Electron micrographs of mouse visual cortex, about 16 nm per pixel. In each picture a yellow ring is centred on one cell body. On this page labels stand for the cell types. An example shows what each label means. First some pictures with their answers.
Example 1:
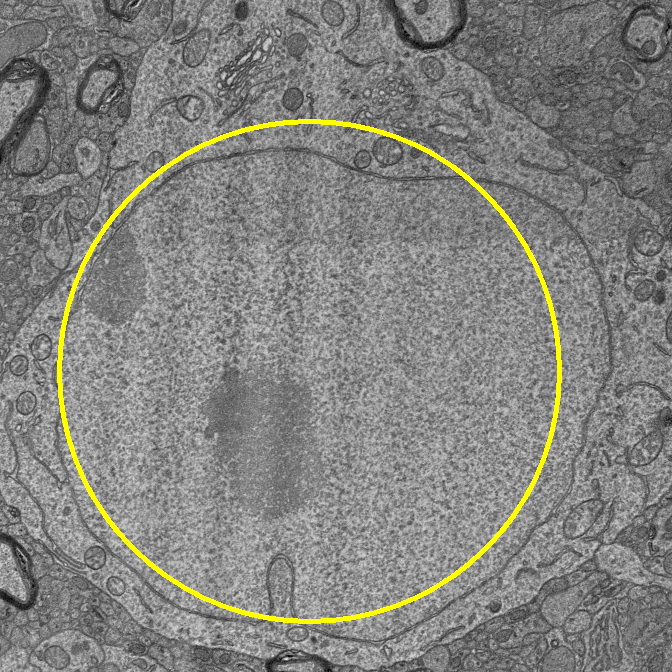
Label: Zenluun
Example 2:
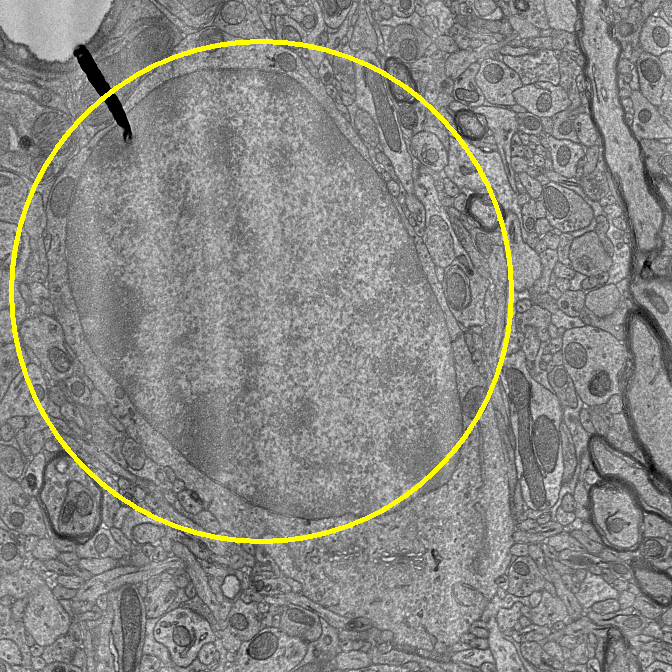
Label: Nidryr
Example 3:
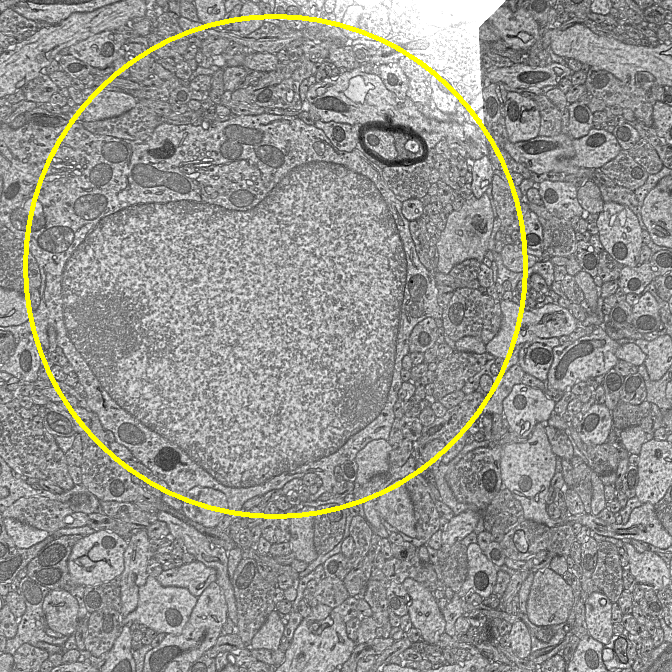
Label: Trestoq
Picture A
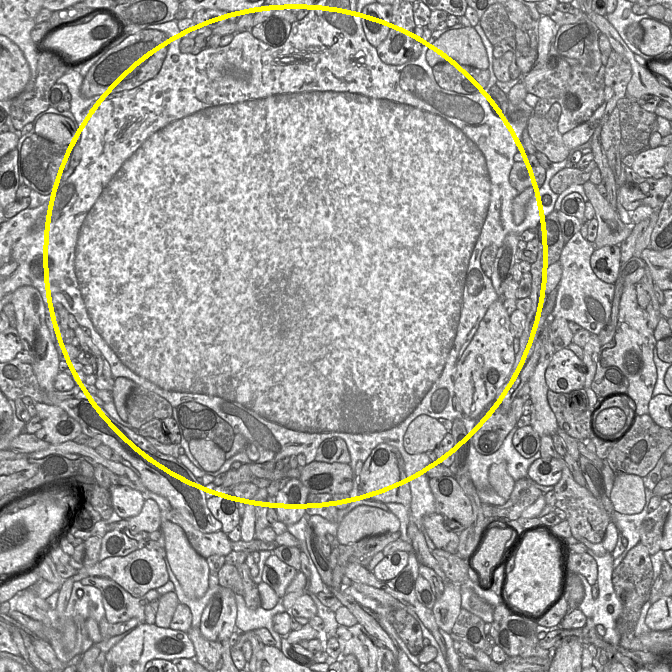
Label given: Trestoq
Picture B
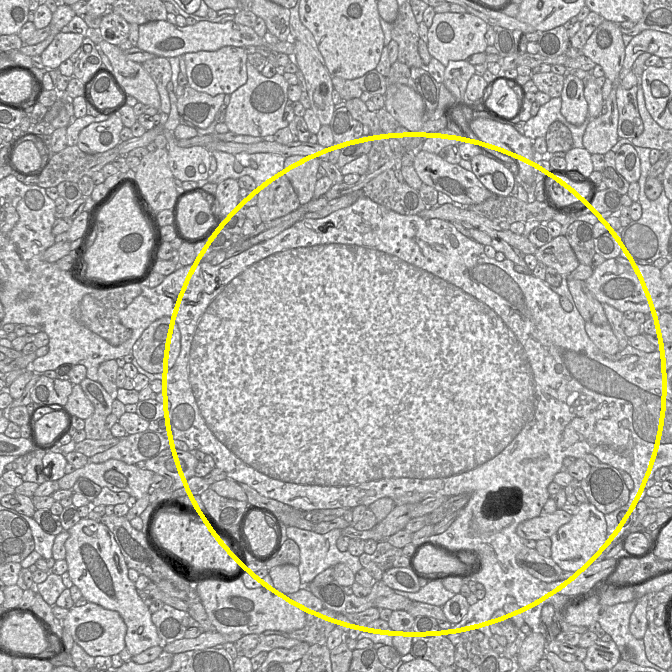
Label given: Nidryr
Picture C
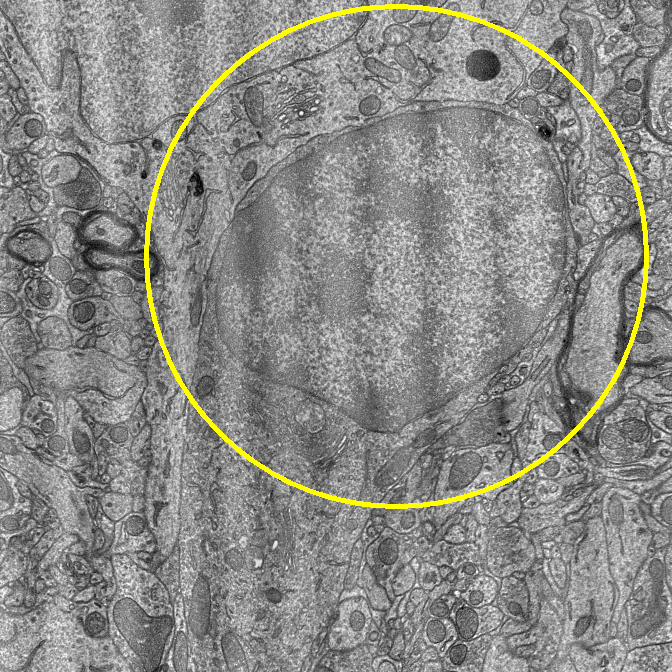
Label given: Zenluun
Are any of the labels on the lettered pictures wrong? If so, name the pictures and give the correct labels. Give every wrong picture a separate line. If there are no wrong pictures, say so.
B: not Nidryr but Trestoq
C: not Zenluun but Nidryr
